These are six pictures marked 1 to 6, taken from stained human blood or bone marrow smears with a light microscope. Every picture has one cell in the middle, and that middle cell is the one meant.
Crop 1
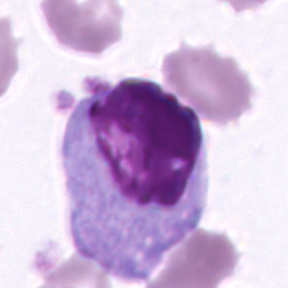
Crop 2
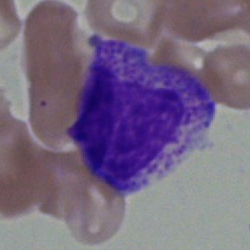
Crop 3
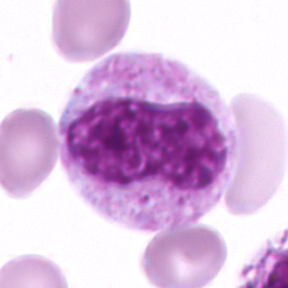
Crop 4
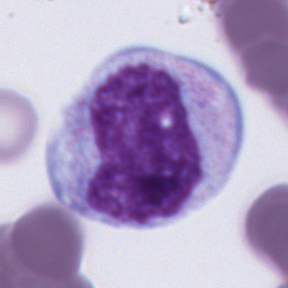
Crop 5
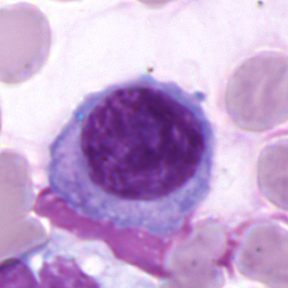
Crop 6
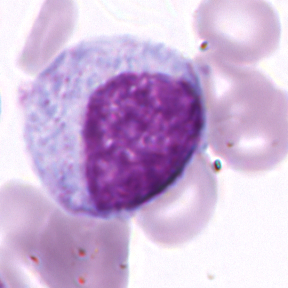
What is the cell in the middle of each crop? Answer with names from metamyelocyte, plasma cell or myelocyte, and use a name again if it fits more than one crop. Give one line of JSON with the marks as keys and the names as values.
{"1": "plasma cell", "2": "myelocyte", "3": "metamyelocyte", "4": "metamyelocyte", "5": "plasma cell", "6": "myelocyte"}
